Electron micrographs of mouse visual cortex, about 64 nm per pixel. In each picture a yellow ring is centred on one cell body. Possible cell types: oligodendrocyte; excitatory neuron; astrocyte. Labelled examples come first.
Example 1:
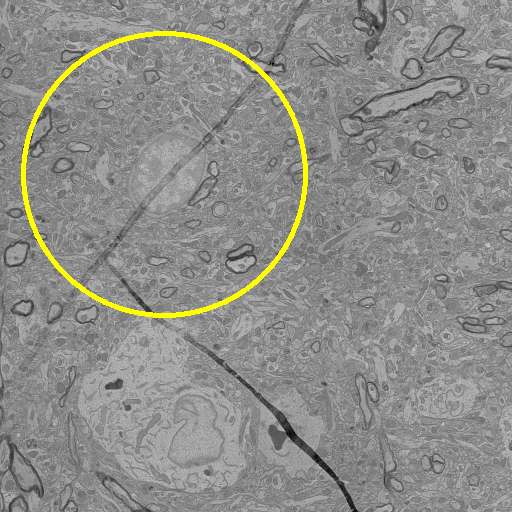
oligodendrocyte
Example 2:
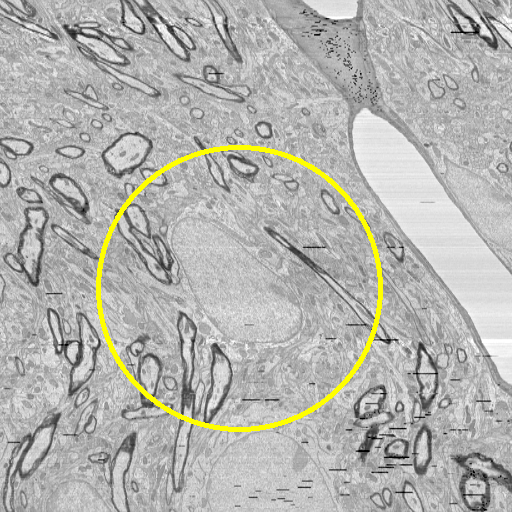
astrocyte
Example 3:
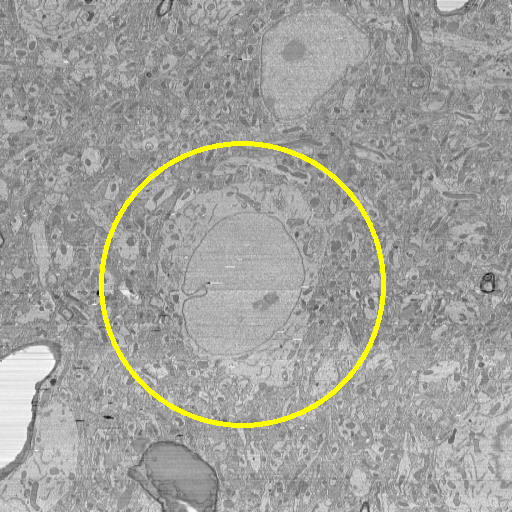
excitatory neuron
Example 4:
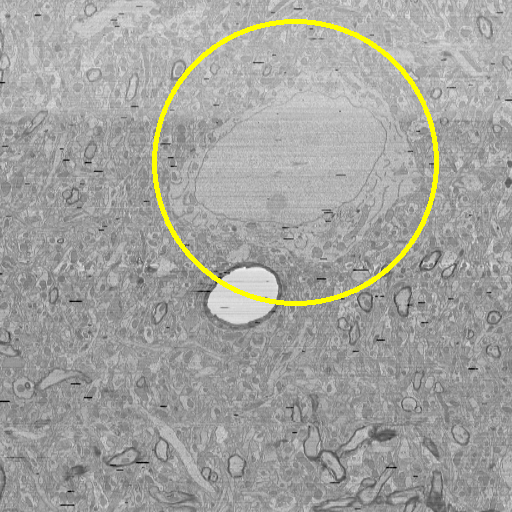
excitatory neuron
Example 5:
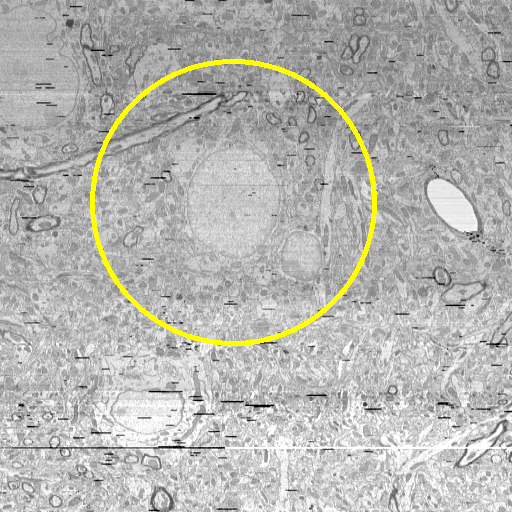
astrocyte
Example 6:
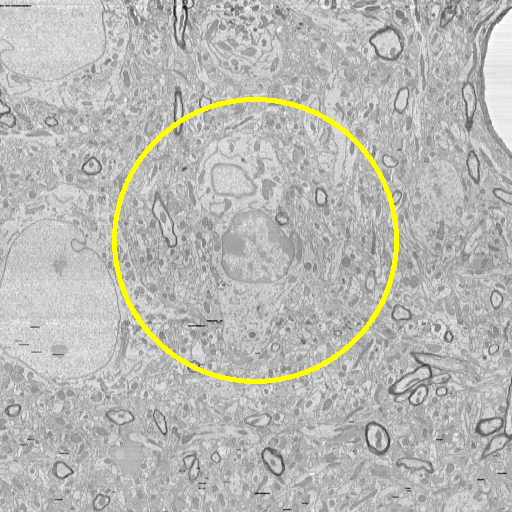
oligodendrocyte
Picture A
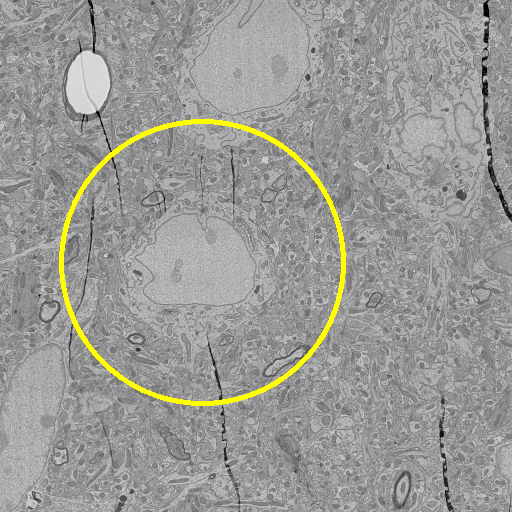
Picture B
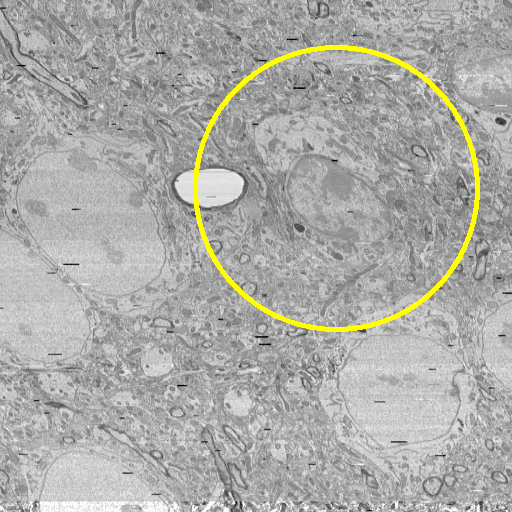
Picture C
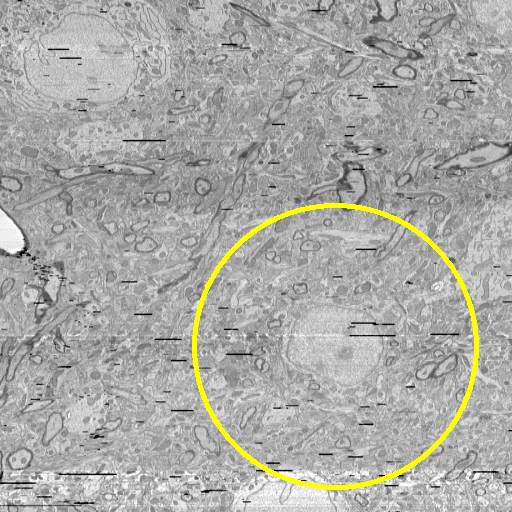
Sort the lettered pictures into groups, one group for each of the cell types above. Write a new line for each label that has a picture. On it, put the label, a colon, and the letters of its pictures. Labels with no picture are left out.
oligodendrocyte: B
excitatory neuron: A
astrocyte: C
